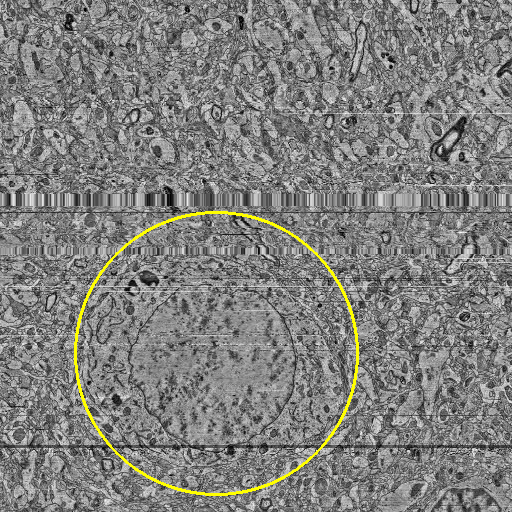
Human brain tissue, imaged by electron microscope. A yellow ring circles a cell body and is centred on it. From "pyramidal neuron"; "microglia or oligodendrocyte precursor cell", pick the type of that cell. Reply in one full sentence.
The cell body at the centre of the yellow ring belongs to a pyramidal neuron.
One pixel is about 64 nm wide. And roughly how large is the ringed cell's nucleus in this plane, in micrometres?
The nucleus of the ringed cell is approximately 11 micrometres across in this plane.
